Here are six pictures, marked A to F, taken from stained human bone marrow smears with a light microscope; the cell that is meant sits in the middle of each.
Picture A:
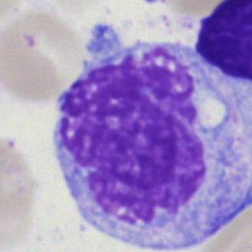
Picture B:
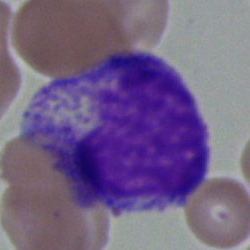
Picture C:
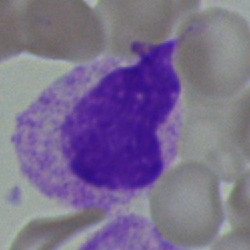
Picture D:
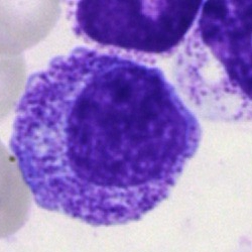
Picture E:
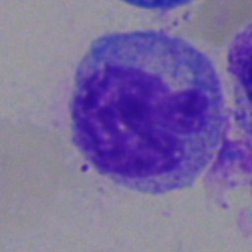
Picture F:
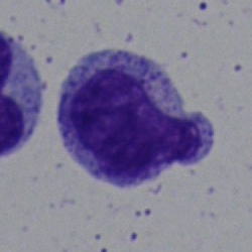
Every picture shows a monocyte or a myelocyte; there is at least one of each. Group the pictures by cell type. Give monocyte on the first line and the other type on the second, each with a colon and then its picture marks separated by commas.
monocyte: A, E
myelocyte: B, C, D, F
